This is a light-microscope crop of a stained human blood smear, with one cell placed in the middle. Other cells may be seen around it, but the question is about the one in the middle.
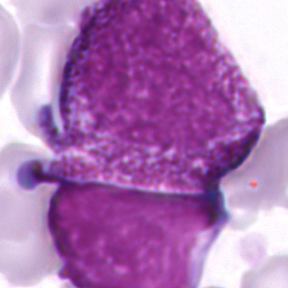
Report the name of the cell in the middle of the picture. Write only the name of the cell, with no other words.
promyelocyte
